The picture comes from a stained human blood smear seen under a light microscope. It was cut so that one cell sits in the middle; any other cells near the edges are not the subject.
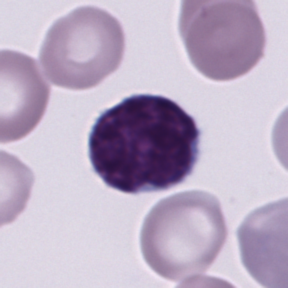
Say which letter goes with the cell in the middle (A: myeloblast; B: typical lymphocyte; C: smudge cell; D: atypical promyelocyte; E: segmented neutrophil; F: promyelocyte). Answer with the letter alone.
B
